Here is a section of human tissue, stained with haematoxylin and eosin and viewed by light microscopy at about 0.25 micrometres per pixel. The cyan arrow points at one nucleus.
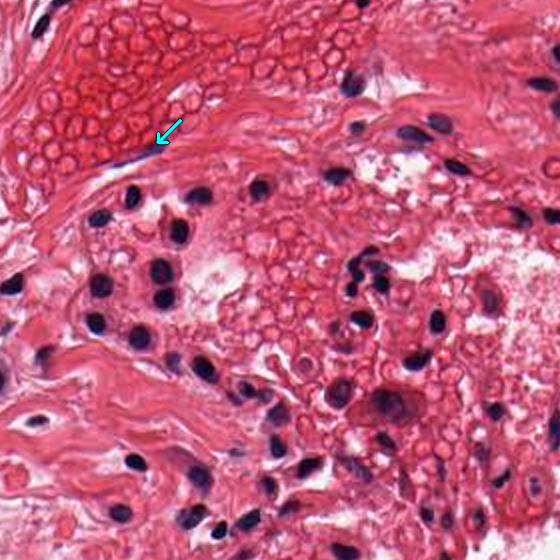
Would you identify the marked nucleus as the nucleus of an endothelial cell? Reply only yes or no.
yes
